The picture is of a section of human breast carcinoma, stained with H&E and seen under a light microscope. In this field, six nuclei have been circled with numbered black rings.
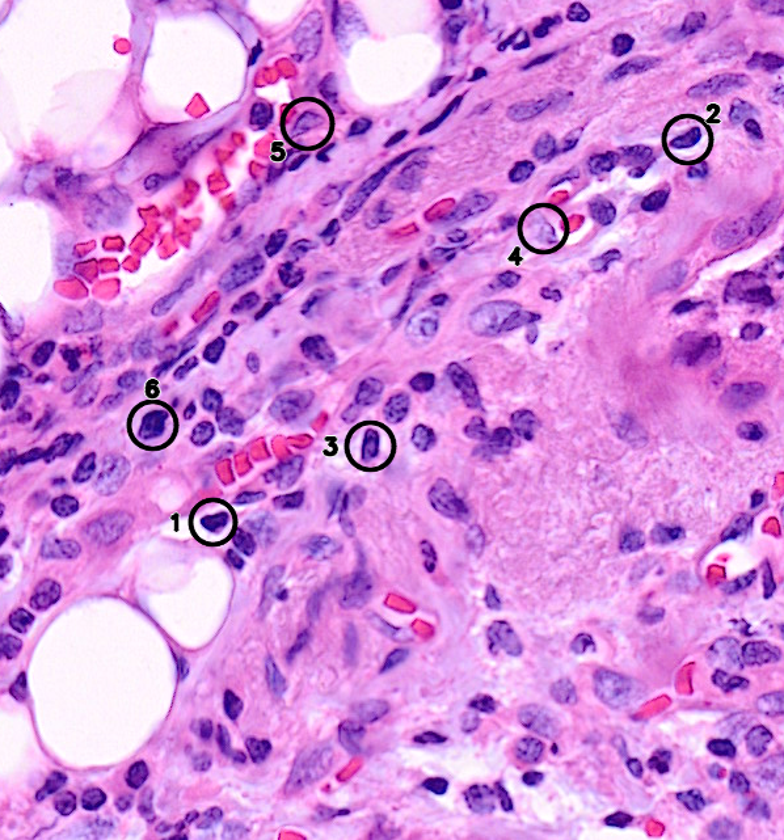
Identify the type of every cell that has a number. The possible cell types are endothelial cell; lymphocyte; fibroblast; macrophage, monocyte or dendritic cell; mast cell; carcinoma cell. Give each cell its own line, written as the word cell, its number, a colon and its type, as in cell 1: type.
cell 1: lymphocyte
cell 2: lymphocyte
cell 3: lymphocyte
cell 4: endothelial cell
cell 5: endothelial cell
cell 6: lymphocyte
